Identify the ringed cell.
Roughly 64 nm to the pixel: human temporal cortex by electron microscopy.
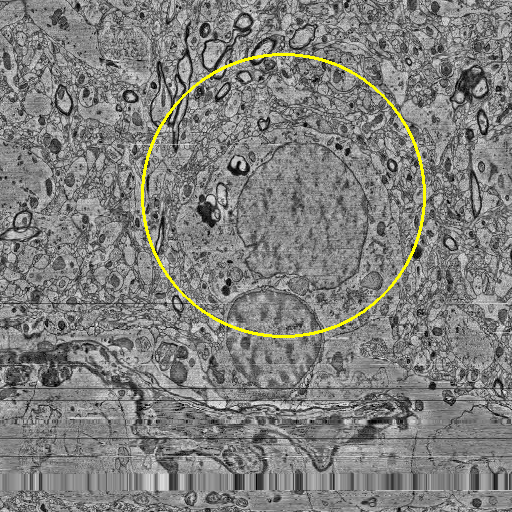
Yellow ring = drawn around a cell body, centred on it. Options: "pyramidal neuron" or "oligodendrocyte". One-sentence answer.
What the ring is centred on is a pyramidal neuron.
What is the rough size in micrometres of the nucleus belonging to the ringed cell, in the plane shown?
In this plane the nucleus is about 9 micrometres across.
